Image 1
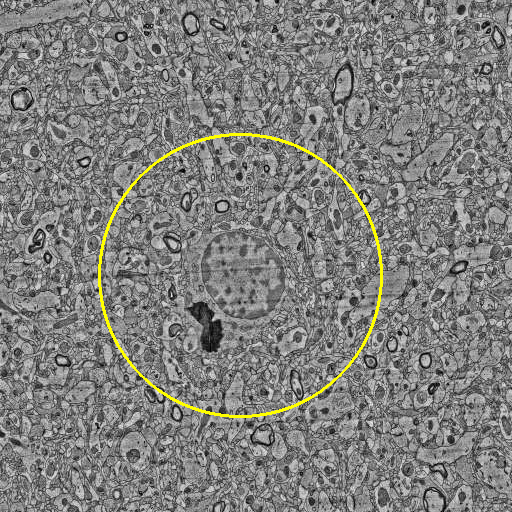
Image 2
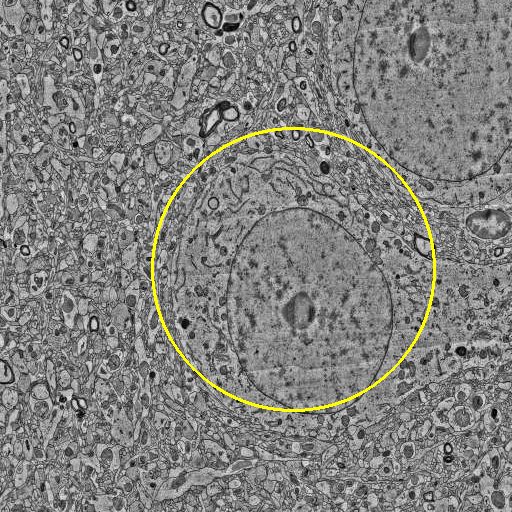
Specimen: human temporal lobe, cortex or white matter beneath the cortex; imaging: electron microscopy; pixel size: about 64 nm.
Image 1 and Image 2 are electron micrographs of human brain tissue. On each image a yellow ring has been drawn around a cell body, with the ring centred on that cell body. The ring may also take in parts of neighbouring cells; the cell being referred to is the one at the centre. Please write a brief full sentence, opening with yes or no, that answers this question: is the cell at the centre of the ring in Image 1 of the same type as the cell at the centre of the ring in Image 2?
No, the two cells are of two types.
